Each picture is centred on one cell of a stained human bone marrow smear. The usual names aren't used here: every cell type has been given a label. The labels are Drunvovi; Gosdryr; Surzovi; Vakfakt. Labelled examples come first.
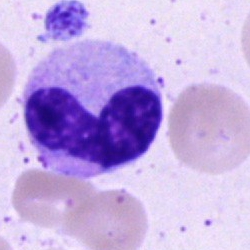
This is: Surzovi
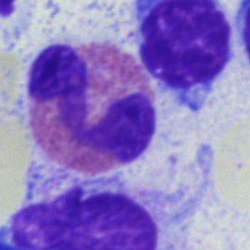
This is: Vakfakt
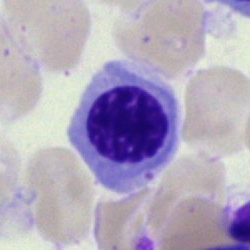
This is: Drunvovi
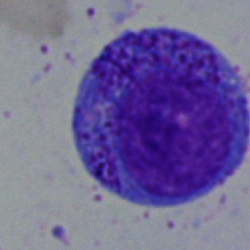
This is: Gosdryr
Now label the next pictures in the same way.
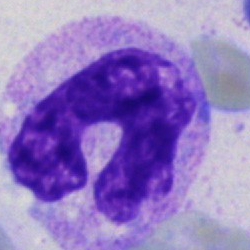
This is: Surzovi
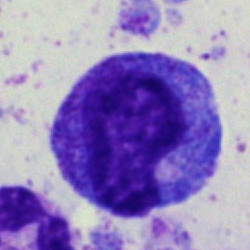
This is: Gosdryr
